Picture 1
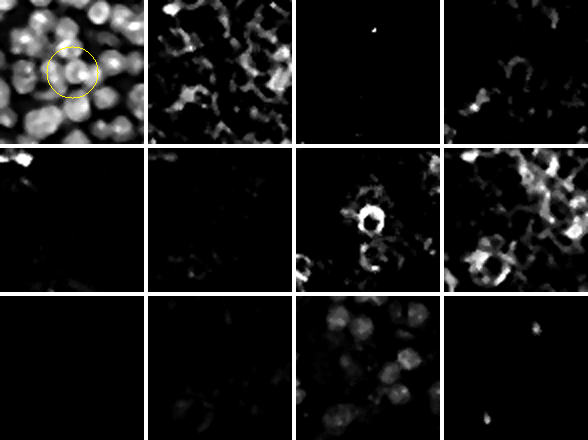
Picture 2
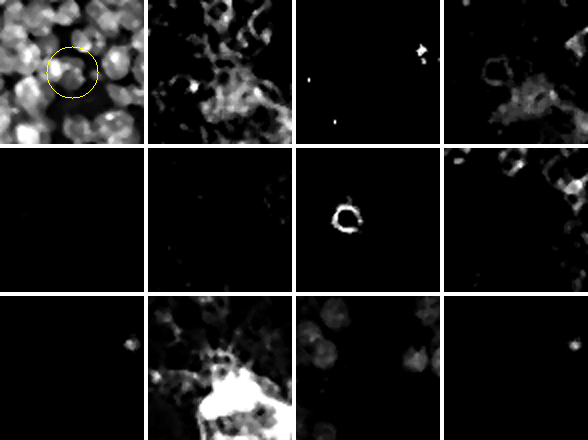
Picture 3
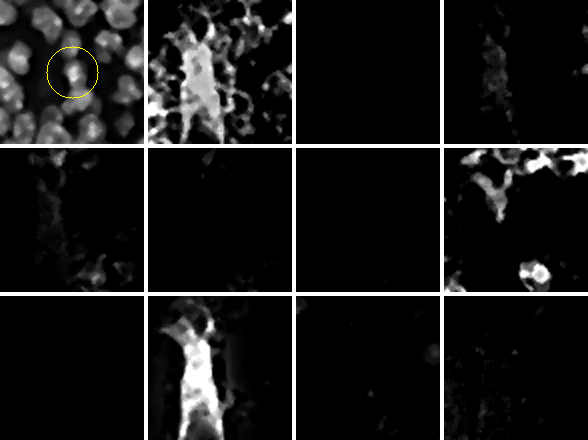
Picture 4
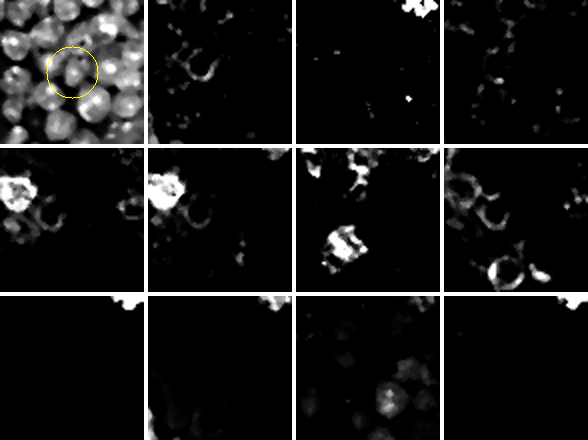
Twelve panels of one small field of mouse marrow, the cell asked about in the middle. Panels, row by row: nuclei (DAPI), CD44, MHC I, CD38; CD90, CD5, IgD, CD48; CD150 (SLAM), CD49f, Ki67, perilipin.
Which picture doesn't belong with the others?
Picture 1.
